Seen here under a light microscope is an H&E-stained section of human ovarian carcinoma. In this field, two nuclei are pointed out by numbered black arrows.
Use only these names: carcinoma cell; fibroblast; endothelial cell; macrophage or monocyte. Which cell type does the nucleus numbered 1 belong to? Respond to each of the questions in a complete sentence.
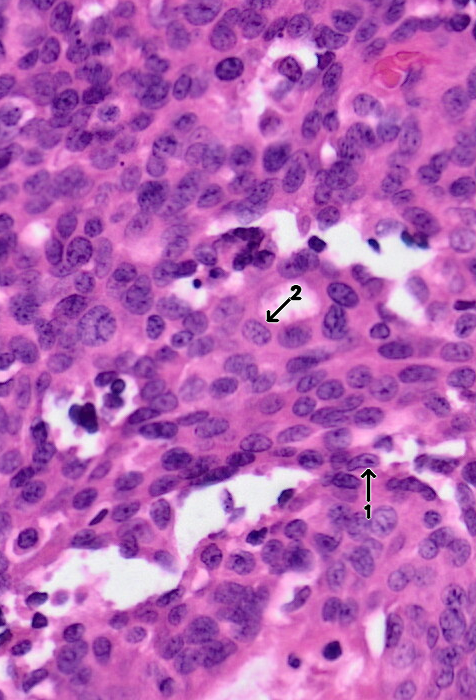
Belonging to a macrophage or monocyte is the nucleus that carries the number 1.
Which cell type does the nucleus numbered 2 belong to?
The cell indicated with the number 2 is classed as a carcinoma cell.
